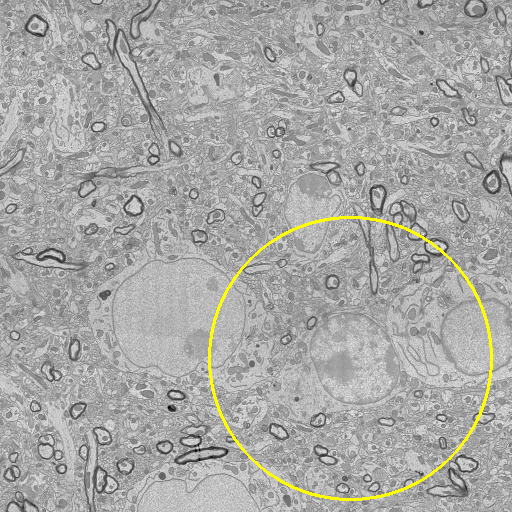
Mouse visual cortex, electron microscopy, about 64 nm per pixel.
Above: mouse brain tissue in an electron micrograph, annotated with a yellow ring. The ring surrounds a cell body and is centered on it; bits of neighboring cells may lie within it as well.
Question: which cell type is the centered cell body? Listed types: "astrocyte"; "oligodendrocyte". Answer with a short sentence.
The centered cell body is an oligodendrocyte.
